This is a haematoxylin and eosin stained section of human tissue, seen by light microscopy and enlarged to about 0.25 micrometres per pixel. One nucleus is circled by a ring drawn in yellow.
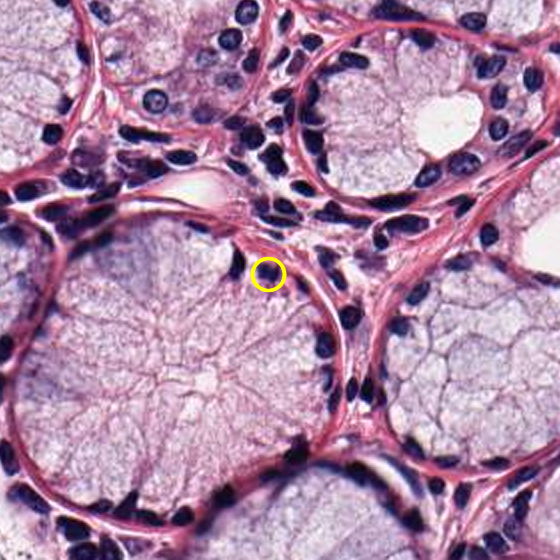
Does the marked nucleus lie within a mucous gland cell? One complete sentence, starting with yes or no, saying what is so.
Yes, the nucleus bearing the mark is that of a mucous gland cell.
